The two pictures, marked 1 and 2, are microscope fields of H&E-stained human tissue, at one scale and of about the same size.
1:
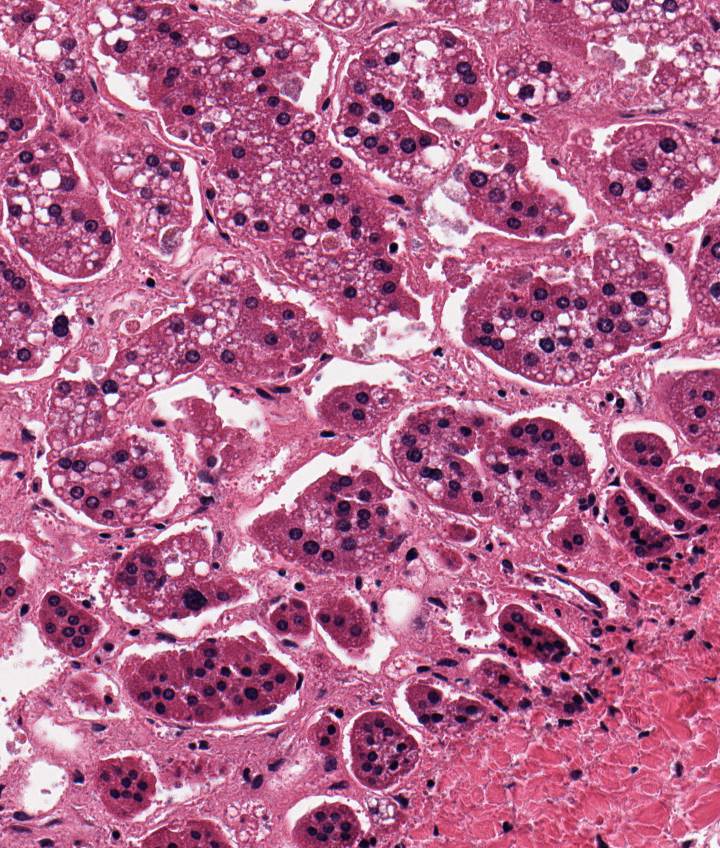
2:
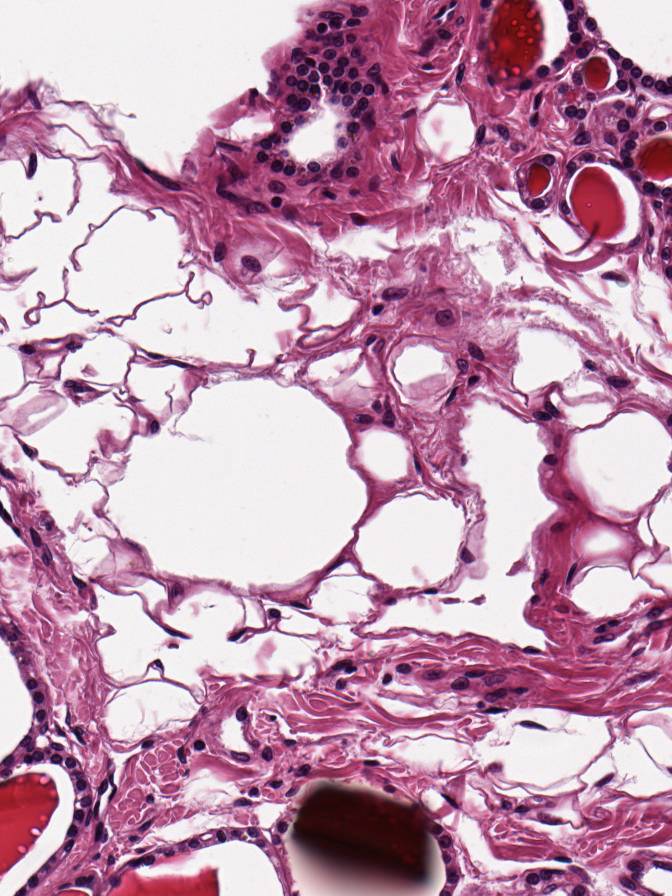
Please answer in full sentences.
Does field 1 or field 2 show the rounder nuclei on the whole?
Rounder nuclei lie in field 1.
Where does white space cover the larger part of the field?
Field 2 has more white space.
